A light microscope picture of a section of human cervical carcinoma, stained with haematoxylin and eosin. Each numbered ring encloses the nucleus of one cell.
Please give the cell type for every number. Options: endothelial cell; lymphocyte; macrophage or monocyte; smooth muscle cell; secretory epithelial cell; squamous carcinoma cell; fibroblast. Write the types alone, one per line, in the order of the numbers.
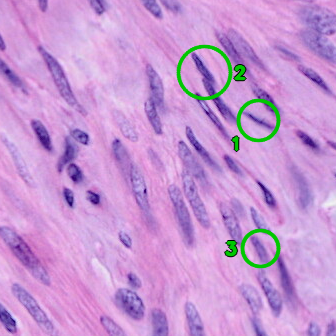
fibroblast
fibroblast
smooth muscle cell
